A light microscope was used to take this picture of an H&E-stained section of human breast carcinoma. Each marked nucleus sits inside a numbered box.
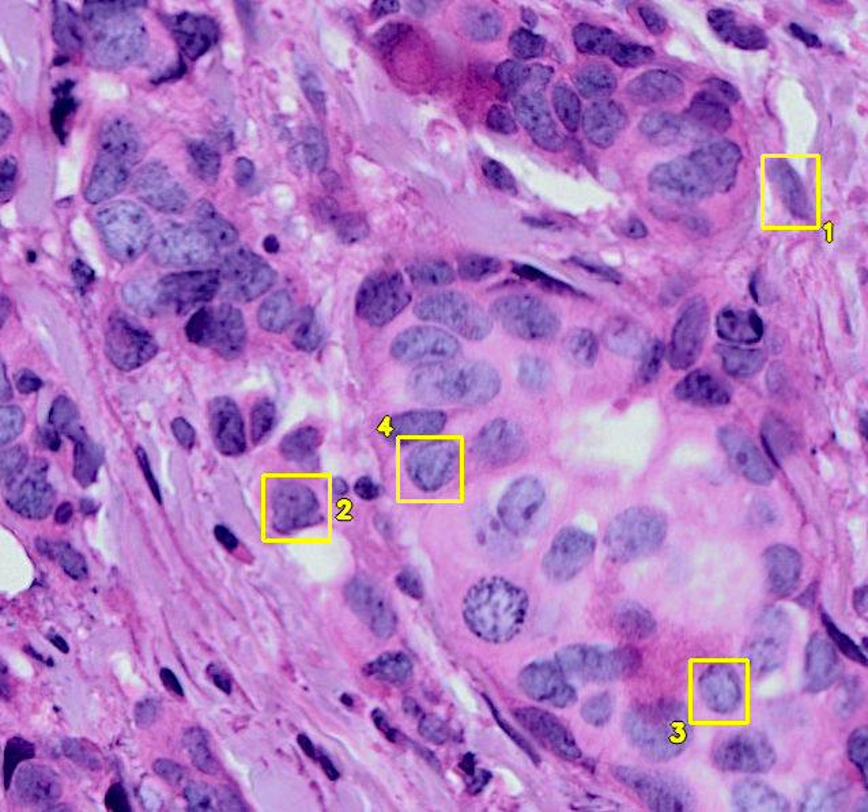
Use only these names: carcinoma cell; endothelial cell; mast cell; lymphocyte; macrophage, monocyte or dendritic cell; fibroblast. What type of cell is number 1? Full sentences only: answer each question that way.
The cell to which the number 1 is assigned is a fibroblast.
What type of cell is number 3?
The numeral 3 marks a carcinoma cell in this section.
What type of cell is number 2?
The cell referenced by the number 2 is a carcinoma cell in this field.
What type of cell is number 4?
The cell tagged with 4 in this tissue section is a carcinoma cell.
